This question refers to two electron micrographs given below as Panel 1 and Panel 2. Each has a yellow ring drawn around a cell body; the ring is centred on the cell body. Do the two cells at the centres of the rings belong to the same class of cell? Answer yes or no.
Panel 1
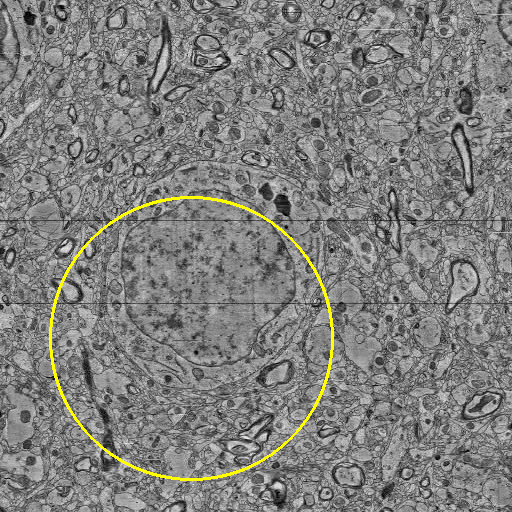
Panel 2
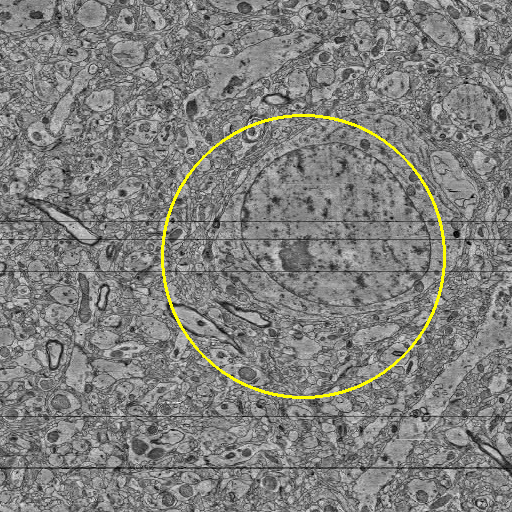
yes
